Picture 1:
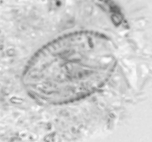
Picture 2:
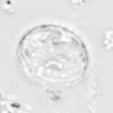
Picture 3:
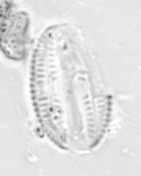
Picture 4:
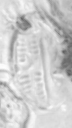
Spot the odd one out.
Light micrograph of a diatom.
Picture 2 (Stephanodiscus among Amphora).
